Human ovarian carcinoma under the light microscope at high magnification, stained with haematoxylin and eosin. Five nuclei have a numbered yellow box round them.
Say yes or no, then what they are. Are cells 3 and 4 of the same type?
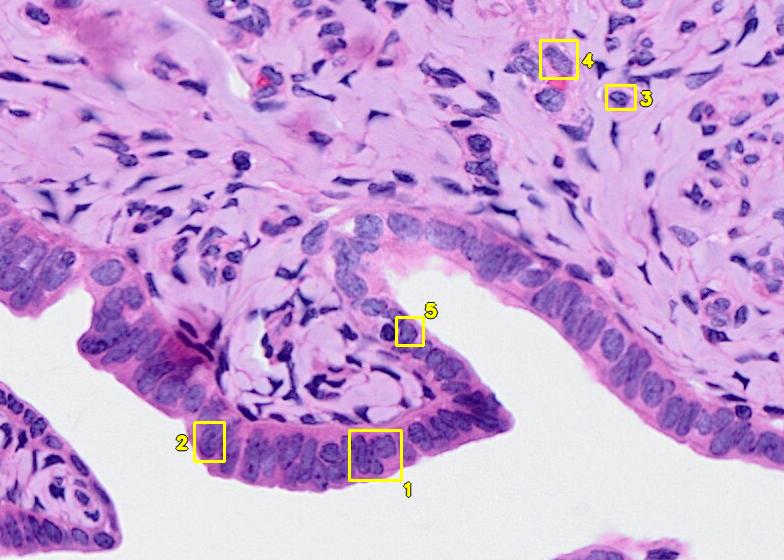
Yes, of the numbered cells, 3 and 4 are both endothelial cells.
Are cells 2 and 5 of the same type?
Yes, with respect to identity, cells 2 and 5 are both carcinoma cells.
